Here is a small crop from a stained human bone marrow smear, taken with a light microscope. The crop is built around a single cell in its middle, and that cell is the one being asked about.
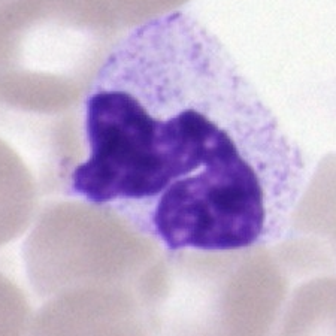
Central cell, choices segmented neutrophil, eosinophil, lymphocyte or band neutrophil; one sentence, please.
In short, the cell at the center is a segmented neutrophil.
